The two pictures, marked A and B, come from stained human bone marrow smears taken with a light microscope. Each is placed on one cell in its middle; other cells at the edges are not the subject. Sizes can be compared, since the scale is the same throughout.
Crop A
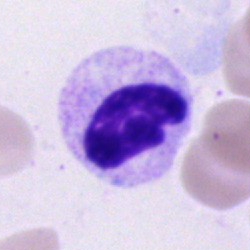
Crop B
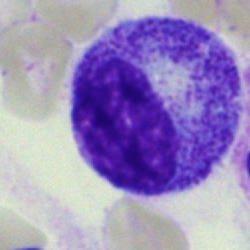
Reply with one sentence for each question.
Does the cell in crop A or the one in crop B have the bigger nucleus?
The nucleus in crop B is larger, with about 2 times the area of the one in crop A.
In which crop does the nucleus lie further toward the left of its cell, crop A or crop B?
The nucleus in crop B lies further toward the left of its cell.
